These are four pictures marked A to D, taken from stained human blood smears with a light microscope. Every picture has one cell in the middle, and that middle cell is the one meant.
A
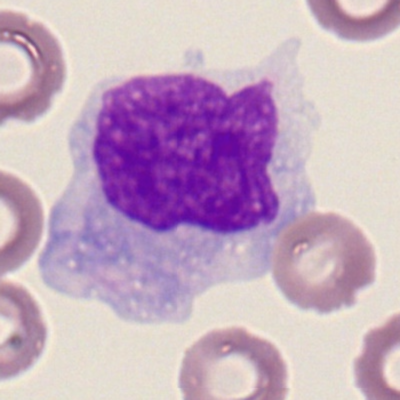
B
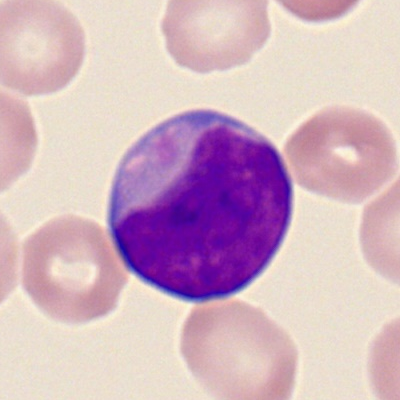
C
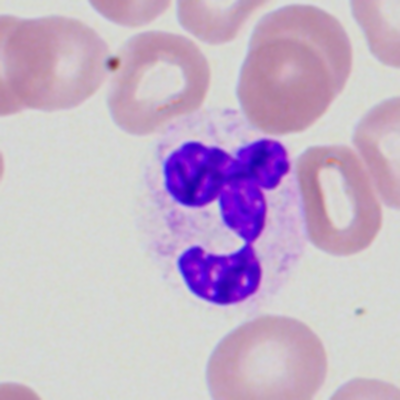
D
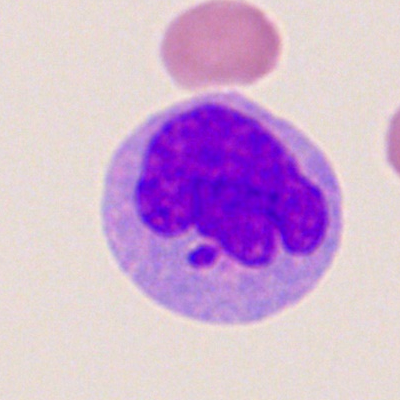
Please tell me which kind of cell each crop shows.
A: monocyte
B: blast
C: neutrophil
D: monocyte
